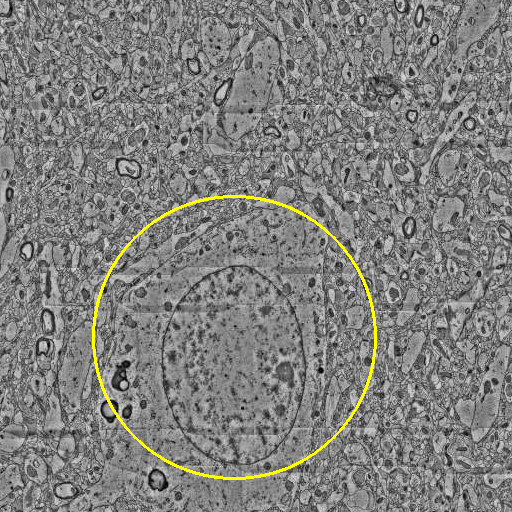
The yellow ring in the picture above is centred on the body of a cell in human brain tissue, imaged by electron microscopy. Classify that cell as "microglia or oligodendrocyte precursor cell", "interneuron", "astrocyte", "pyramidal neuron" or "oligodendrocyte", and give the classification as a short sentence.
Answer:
The cell in the middle of the ring is a pyramidal neuron.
